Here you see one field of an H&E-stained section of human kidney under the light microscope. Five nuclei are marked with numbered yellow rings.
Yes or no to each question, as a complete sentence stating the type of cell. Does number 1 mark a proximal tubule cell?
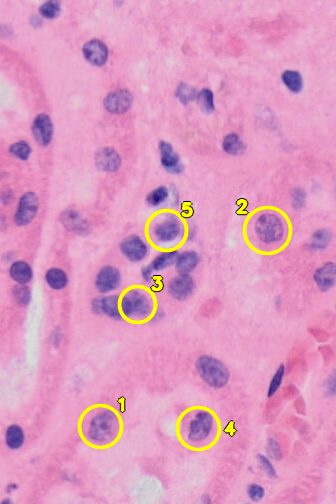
Yes, the cell carrying number 1 is a proximal tubule cell.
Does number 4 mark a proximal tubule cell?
Yes, the cell that number 4 points to is a proximal tubule cell.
